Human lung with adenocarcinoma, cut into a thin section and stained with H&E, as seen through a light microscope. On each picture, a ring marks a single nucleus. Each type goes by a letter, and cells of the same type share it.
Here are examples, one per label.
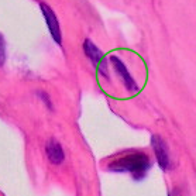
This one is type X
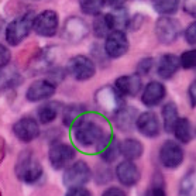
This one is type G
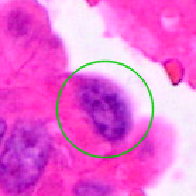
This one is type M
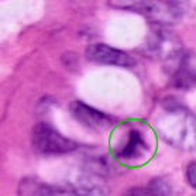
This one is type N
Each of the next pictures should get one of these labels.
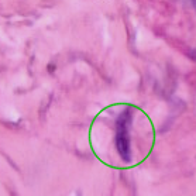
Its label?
type X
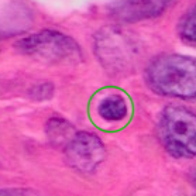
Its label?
type G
